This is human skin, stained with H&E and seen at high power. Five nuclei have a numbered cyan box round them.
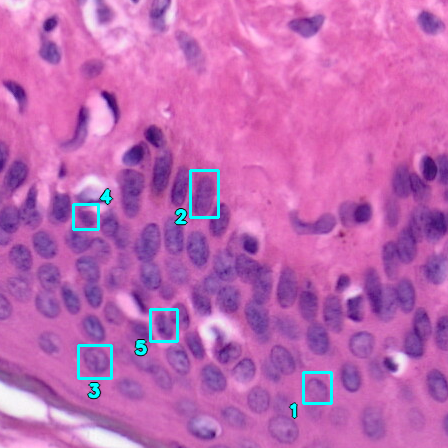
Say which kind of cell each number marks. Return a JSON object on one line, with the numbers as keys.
{"1": "suprabasal keratinocyte", "2": "basal keratinocyte", "3": "suprabasal keratinocyte", "4": "basal keratinocyte", "5": "basal keratinocyte"}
